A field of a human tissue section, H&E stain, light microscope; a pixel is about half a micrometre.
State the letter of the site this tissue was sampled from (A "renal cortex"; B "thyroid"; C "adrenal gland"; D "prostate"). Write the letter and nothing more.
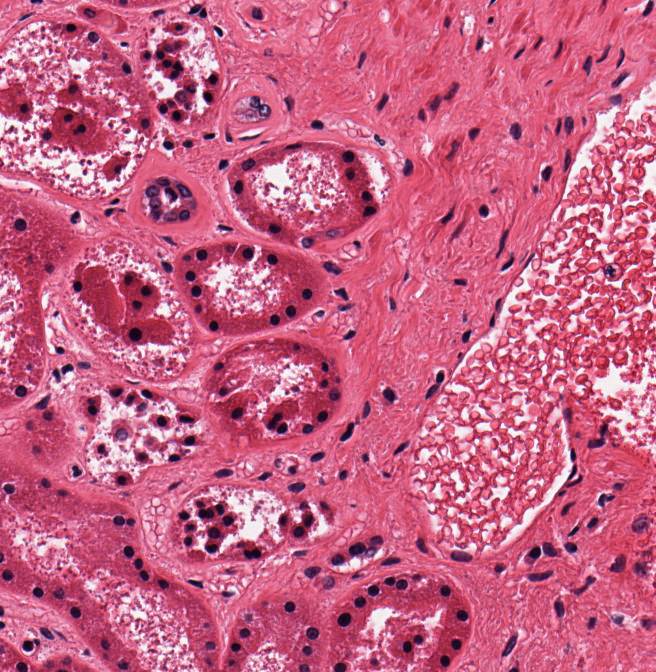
A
